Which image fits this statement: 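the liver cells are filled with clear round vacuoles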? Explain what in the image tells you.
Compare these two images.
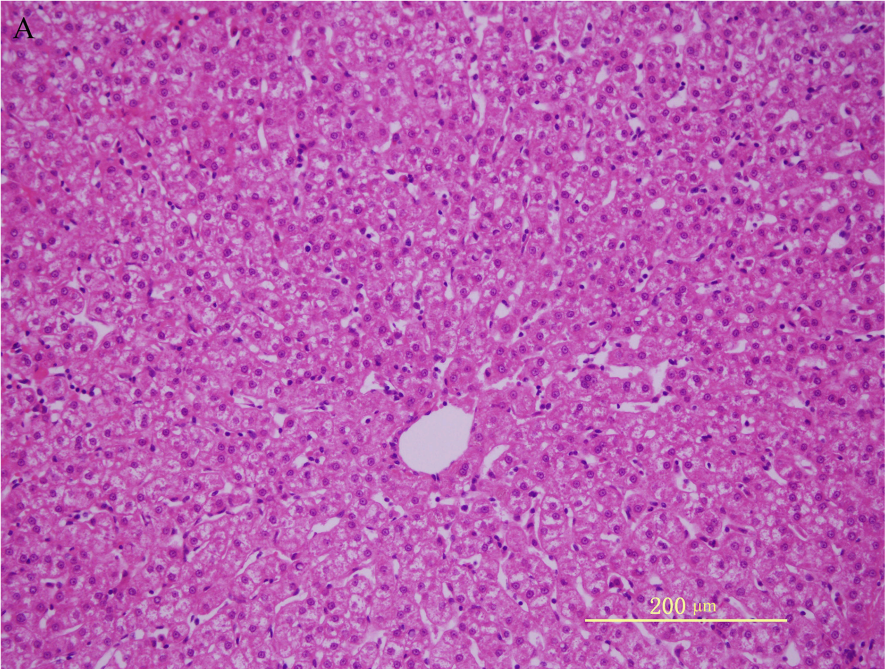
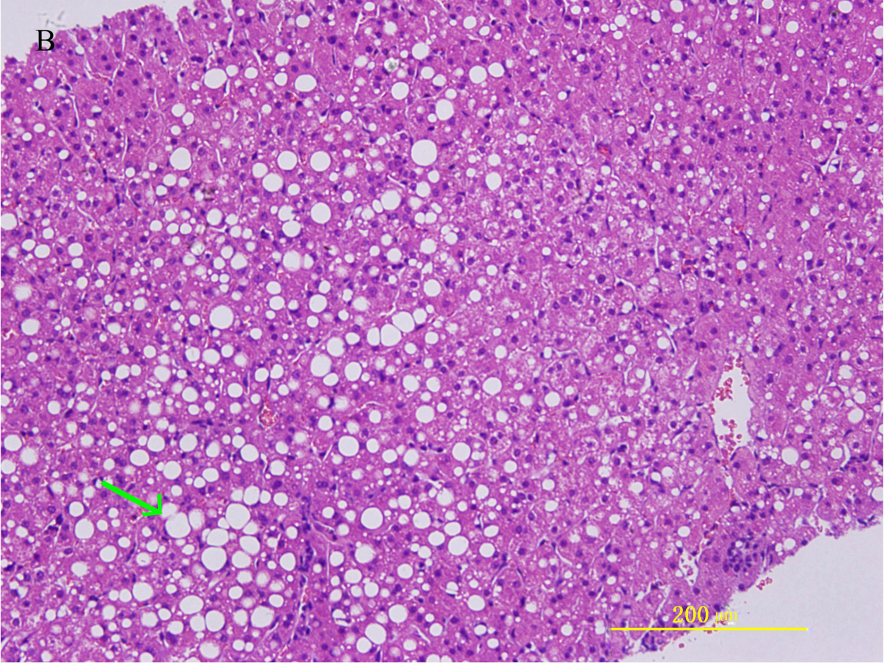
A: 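Second image: numerous round clear vacuoles of varying size crowd the hepatocytes. First image: hepatocytes have pink granular cytoplasm with no large round clear vacuoles.
The second image.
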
